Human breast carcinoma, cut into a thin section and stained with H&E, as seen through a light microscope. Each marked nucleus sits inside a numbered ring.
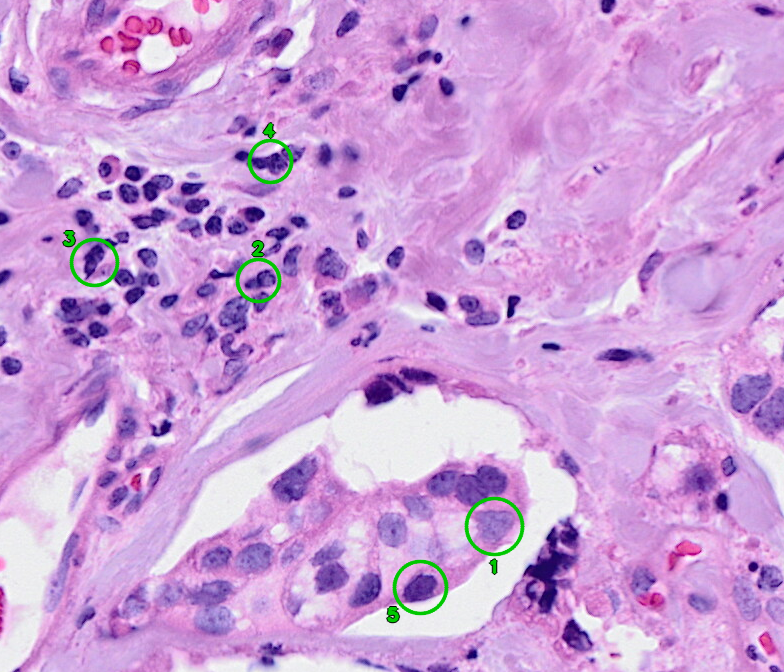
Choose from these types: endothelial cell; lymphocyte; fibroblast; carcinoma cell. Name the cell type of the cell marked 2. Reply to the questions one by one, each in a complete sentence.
The nucleus labeled 2 belongs to a lymphocyte.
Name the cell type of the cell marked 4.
The cell pointed out as number 4 is a lymphocyte.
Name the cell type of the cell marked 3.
In the marked set, the cell given number 3 is a lymphocyte.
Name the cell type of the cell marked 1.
The cell to which the number 1 is assigned is a carcinoma cell.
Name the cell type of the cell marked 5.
To a carcinoma cell belongs the nucleus marked 5.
